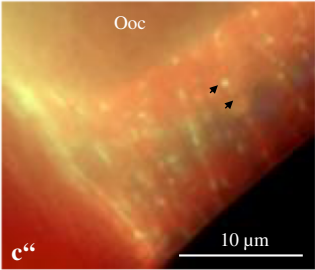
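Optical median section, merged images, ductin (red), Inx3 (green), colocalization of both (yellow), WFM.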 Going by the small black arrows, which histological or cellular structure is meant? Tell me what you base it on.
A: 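Plaques. The arrows point to two small bright dots lying close together. Similar dots are strung along the lines of the cell borders in the lower part.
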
